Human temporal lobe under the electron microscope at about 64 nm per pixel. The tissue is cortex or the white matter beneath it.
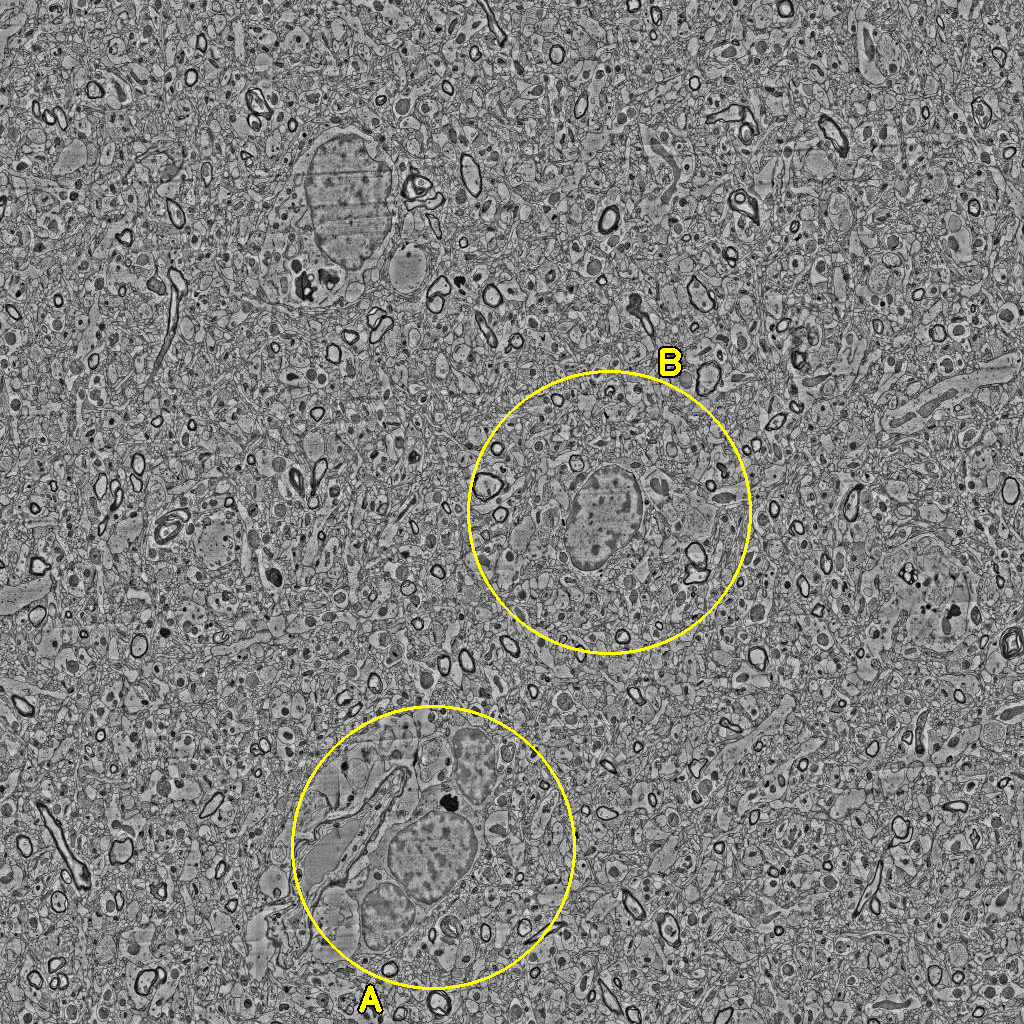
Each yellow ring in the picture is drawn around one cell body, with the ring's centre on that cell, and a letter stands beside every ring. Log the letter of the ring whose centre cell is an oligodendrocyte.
A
